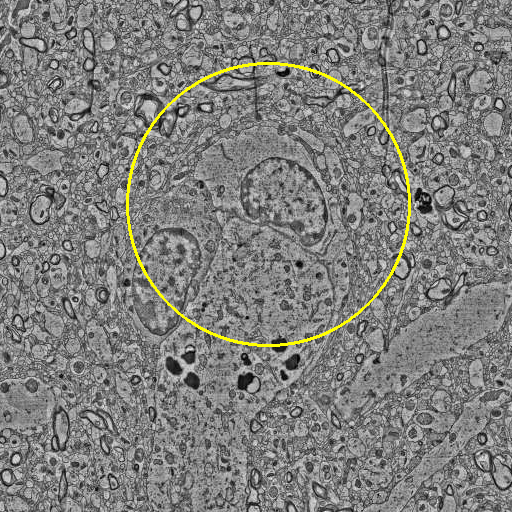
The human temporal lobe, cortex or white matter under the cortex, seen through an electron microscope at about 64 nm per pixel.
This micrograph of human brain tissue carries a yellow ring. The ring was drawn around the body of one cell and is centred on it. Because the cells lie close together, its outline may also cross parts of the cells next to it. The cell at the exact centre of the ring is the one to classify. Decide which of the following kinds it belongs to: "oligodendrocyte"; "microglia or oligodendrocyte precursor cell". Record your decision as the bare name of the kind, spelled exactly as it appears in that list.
microglia or oligodendrocyte precursor cell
